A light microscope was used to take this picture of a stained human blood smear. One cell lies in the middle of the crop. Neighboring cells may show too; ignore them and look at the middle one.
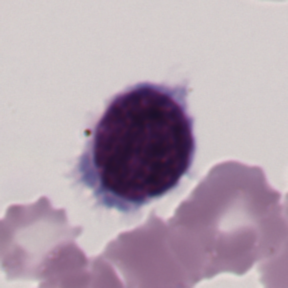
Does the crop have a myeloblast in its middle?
no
